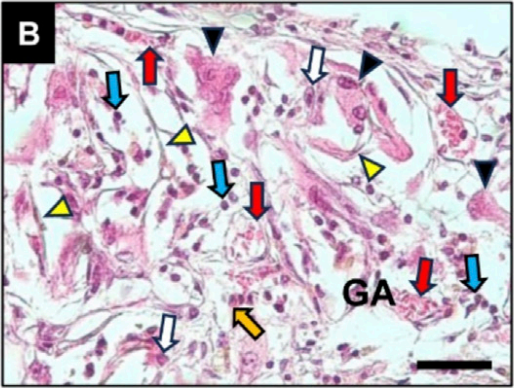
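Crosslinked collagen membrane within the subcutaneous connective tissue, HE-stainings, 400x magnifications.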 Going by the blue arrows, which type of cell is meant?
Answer: Lymphocytes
